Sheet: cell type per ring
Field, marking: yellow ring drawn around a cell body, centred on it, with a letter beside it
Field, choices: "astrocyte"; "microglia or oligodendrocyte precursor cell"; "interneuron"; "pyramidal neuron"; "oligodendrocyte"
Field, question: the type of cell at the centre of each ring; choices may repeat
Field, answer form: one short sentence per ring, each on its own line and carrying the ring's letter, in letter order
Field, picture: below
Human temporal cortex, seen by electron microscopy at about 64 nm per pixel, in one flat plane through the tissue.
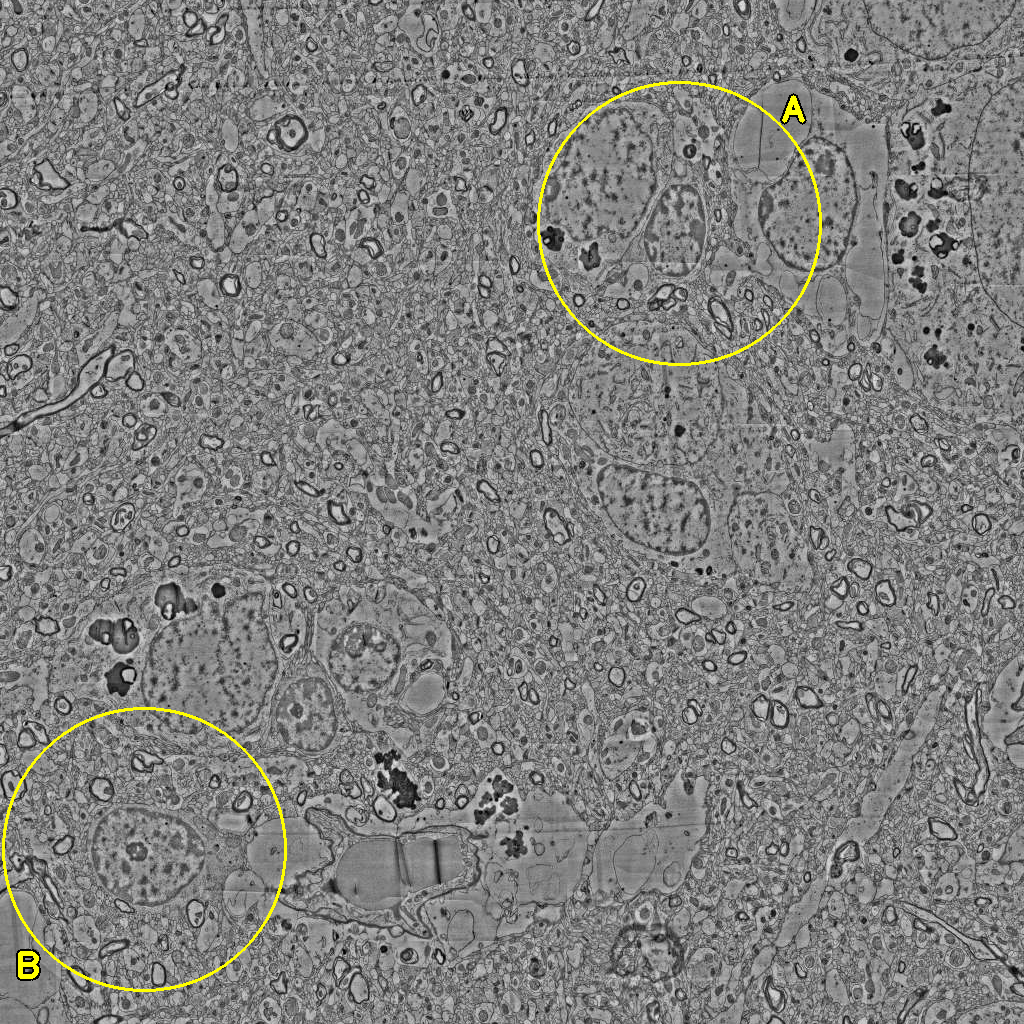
The cell body inside ring A, at its centre, is a microglial cell or oligodendrocyte precursor cell.
The cell body inside ring B, at its centre, is an oligodendrocyte.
